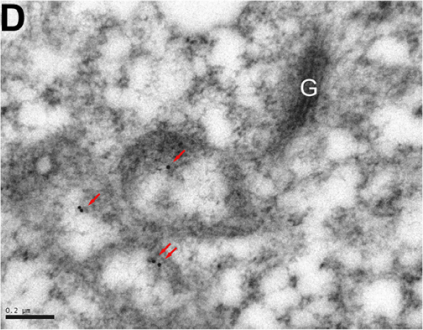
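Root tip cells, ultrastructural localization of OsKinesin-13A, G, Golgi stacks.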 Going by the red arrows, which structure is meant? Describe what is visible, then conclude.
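Gold particles. The red arrows point at small, round, very dense black dots. The dots lie beside membrane-bounded profiles near the stack.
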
